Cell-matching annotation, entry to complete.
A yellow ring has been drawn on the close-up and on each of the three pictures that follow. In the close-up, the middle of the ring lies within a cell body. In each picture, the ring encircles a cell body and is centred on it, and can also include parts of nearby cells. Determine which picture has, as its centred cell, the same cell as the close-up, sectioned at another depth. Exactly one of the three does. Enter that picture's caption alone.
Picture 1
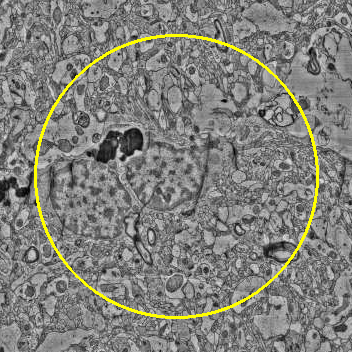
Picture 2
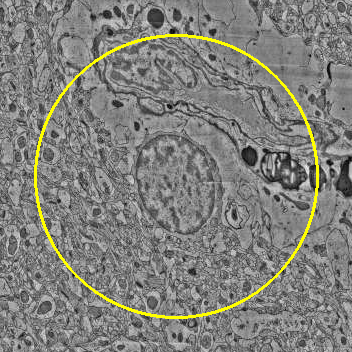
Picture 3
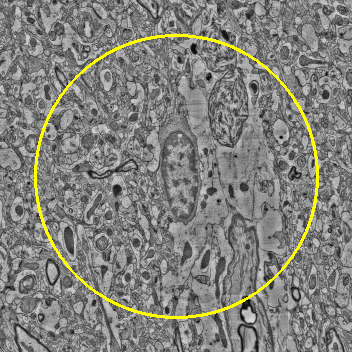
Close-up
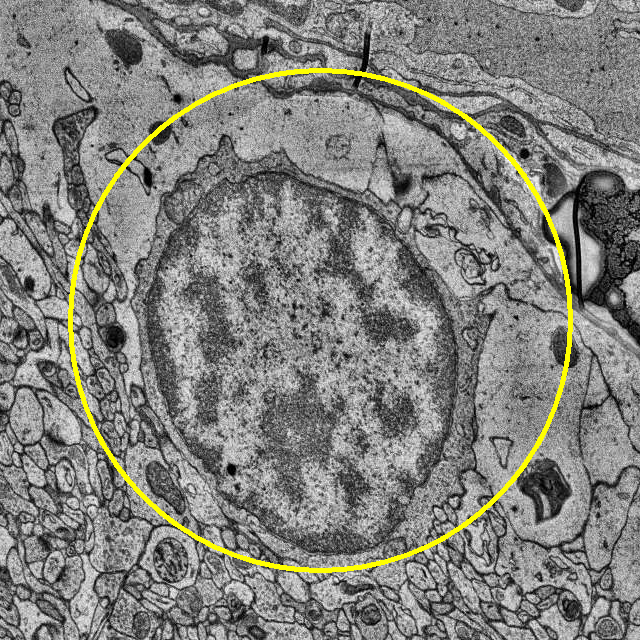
Picture 2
